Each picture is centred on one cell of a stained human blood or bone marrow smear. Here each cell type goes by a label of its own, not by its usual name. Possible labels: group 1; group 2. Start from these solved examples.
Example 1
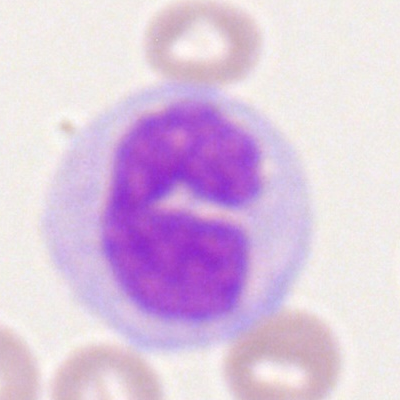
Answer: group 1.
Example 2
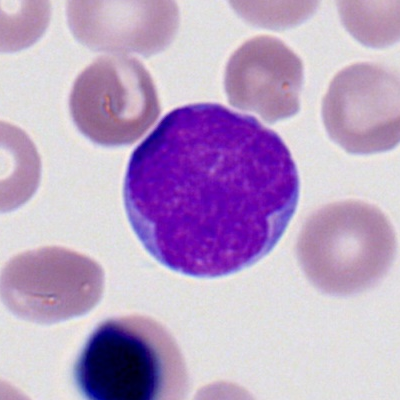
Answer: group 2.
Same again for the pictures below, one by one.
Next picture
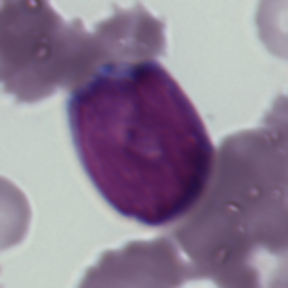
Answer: group 2.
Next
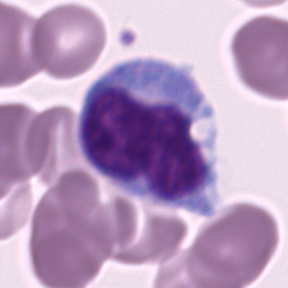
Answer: group 1.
